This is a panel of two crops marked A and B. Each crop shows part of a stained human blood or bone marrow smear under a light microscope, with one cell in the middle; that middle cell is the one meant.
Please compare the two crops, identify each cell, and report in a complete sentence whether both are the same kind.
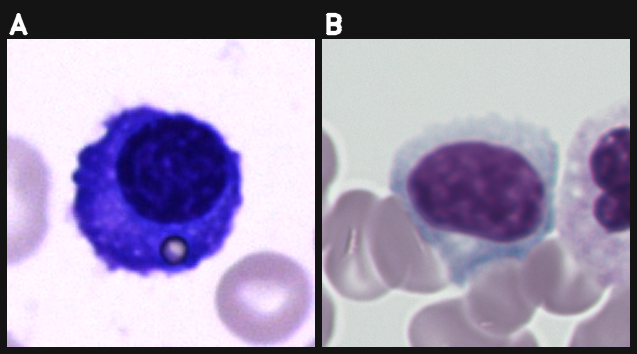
No, crop A shows a plasma cell, and it is crop B that shows a lymphocyte.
